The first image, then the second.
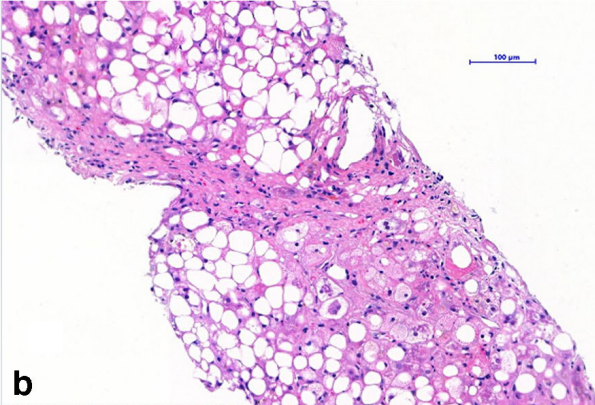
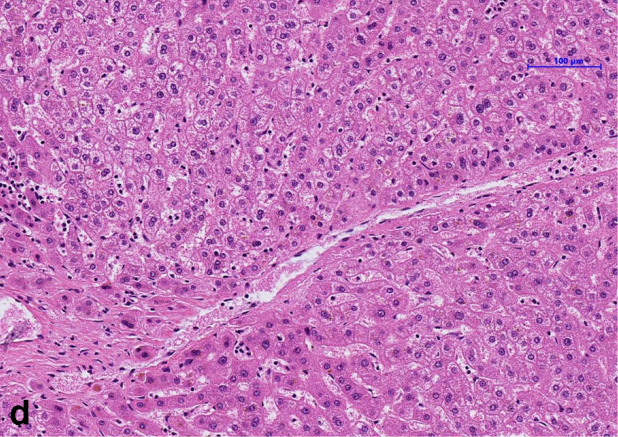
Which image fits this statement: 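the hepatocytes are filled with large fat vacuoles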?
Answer: The first image.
